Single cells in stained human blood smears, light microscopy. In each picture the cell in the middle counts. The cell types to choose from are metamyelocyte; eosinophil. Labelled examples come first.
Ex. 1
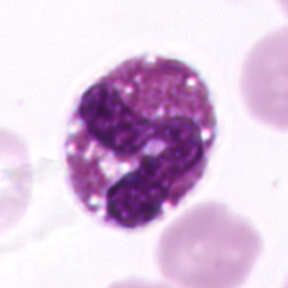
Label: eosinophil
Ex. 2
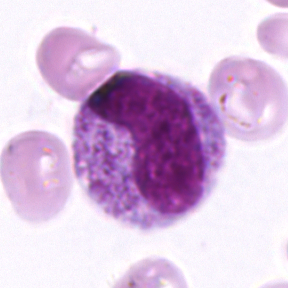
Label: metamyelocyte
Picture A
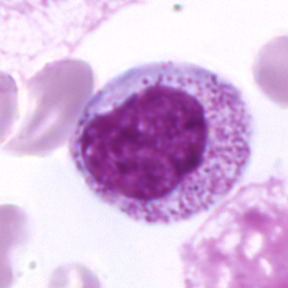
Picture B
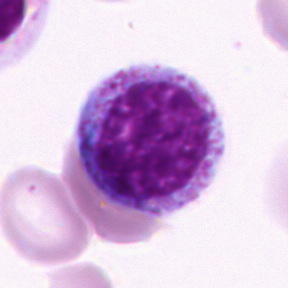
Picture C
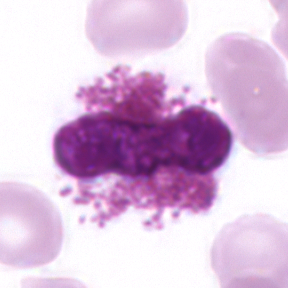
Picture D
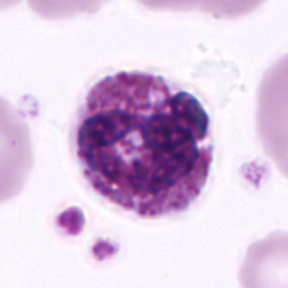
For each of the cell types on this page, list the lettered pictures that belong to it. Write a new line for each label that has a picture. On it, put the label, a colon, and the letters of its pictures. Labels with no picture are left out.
metamyelocyte: A, B
eosinophil: C, D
